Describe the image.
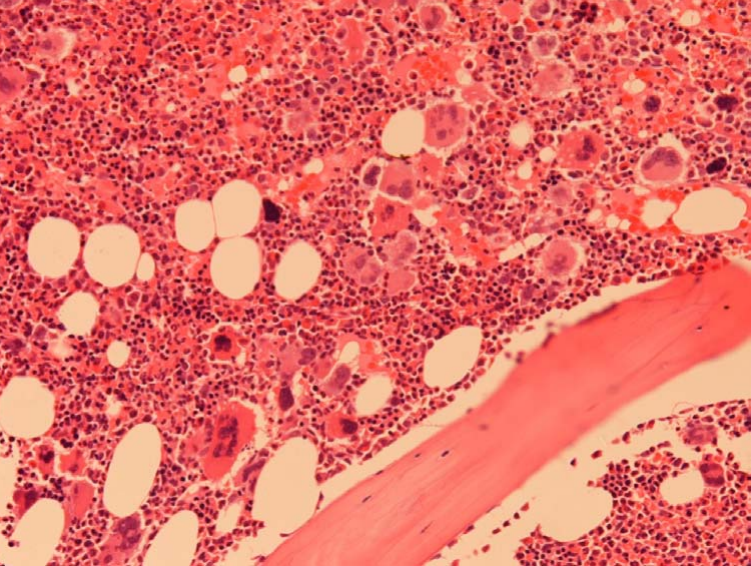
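This is bone marrow, with a bony trabecula running as a smooth pink band across the lower right and densely cellular blood-forming marrow around it. Among the many small dark-nucleated precursor cells and round empty fat spaces, there are numerous very large megakaryocytes, each with abundant pink-violet cytoplasm and a large lobulated nucleus. The megakaryocytes are unusually plentiful and in places lie close together in small groups, especially in the upper part of the field. Pools of red cells are seen between the cells near the top.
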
